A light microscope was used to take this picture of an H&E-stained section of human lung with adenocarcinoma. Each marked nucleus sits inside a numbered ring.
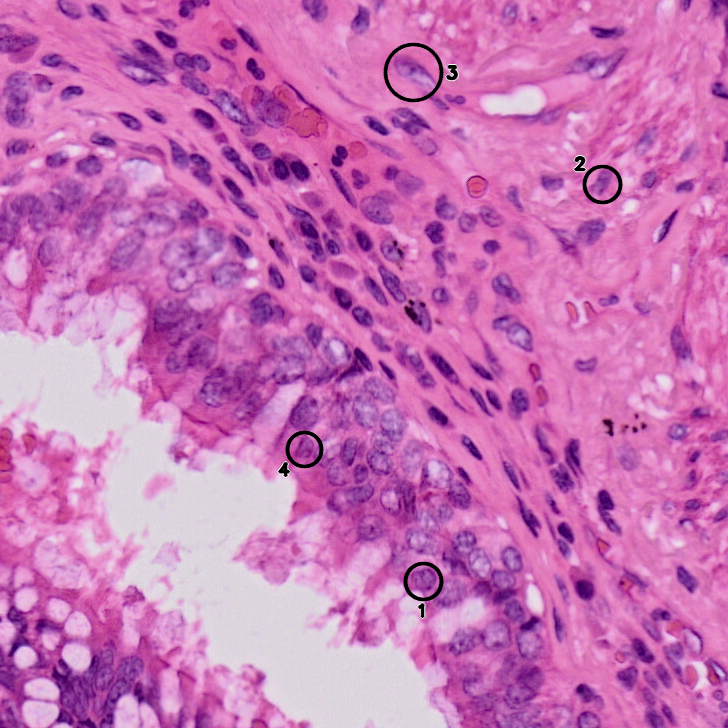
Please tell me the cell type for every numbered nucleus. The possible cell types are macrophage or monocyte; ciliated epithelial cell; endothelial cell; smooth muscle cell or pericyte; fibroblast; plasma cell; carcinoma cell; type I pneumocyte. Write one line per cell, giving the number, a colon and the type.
1: ciliated epithelial cell
2: smooth muscle cell or pericyte
3: endothelial cell
4: ciliated epithelial cell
